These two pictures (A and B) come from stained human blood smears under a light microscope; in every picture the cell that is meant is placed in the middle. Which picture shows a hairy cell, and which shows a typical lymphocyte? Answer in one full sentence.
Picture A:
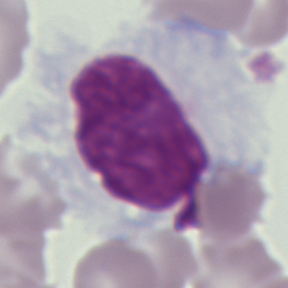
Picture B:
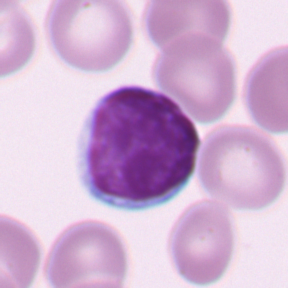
The cell in picture A is a hairy cell, and the one in picture B is a typical lymphocyte.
